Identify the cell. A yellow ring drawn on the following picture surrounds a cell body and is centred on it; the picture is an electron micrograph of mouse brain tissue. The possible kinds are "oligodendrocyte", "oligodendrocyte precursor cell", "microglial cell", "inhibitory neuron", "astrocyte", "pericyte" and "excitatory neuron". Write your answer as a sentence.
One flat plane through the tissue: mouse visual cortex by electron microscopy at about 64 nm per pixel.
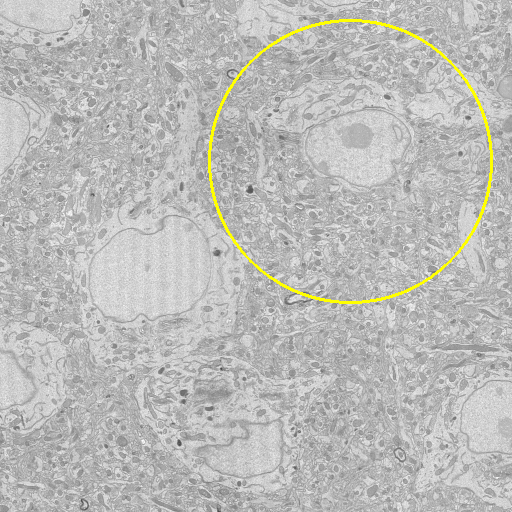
The cell identified by the ring is an oligodendrocyte precursor cell.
